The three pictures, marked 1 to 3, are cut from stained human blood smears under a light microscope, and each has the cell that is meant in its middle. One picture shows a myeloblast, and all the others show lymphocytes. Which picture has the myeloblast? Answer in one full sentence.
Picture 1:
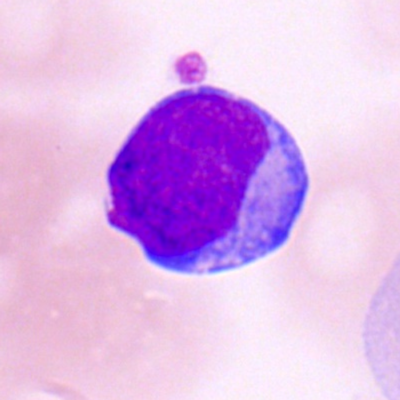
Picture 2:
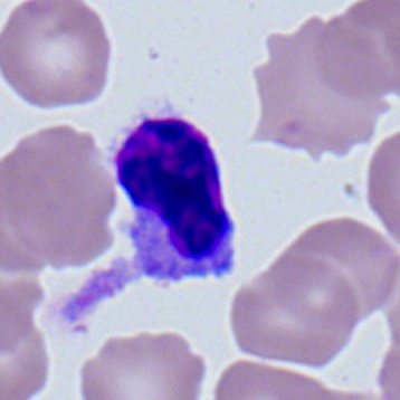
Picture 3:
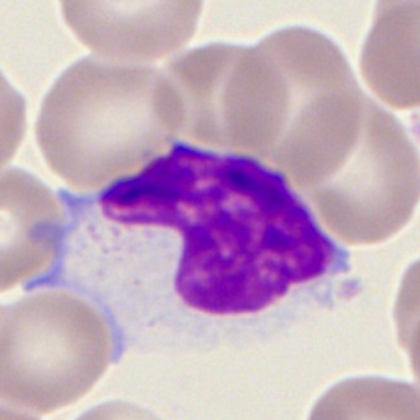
Picture 1 is the one that shows the myeloblast.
